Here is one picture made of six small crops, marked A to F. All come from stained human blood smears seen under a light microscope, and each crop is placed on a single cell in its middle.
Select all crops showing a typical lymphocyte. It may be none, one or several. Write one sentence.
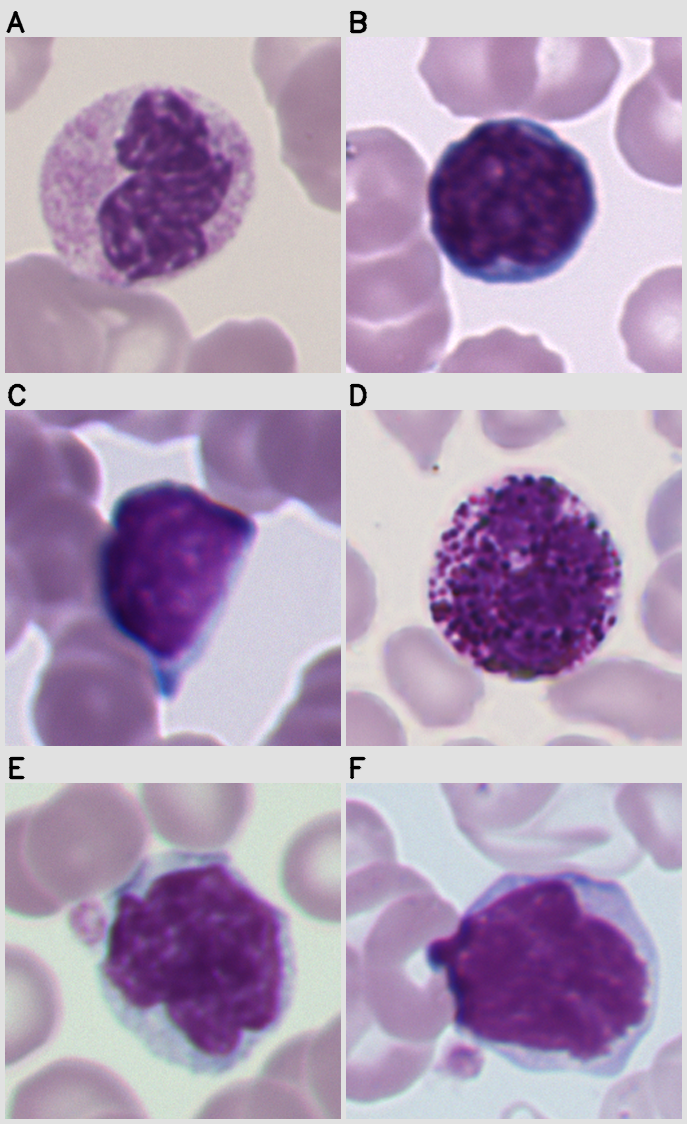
Crops B, C, E and F are identified as showing typical lymphocytes.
